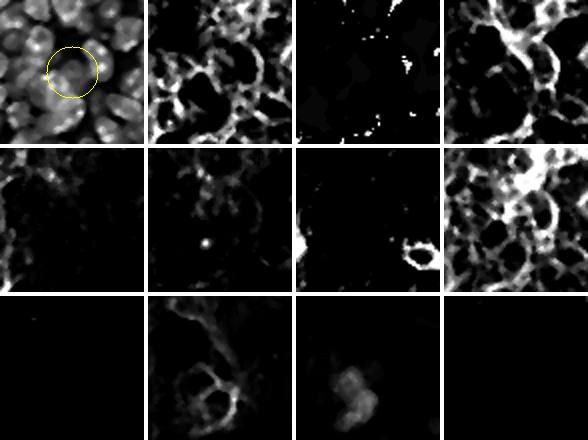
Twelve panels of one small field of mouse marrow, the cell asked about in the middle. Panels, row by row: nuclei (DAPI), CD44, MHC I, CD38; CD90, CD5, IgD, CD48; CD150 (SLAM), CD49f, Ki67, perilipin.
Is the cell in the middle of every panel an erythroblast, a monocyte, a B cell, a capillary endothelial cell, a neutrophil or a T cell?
It is a capillary endothelial cell.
